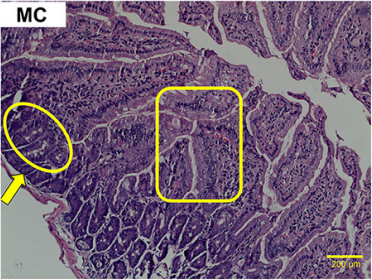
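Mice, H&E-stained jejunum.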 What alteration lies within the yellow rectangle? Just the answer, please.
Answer: disorders in epithelial cells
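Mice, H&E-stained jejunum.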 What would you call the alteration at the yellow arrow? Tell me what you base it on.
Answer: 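The arrow points to the outer pink wall layer at the lower left edge. The outer muscular layer there is a very thin band.
Answer: thinned of muscularis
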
